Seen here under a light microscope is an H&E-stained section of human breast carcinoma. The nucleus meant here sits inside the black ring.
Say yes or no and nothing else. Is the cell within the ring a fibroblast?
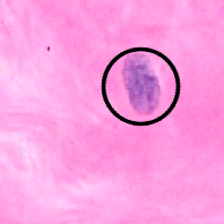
yes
